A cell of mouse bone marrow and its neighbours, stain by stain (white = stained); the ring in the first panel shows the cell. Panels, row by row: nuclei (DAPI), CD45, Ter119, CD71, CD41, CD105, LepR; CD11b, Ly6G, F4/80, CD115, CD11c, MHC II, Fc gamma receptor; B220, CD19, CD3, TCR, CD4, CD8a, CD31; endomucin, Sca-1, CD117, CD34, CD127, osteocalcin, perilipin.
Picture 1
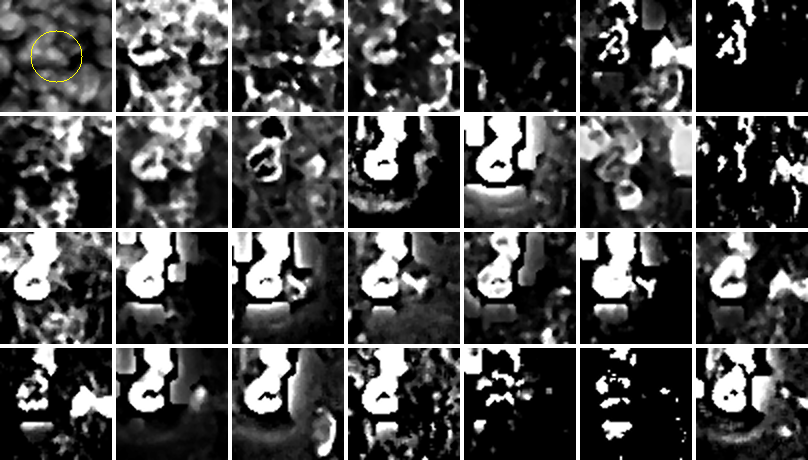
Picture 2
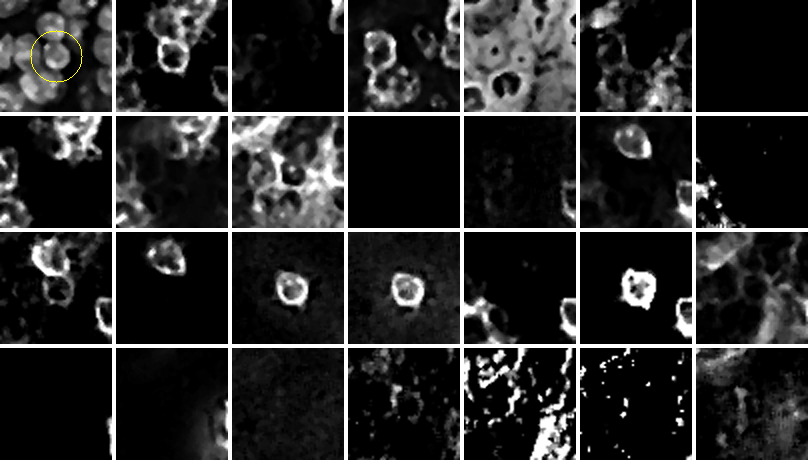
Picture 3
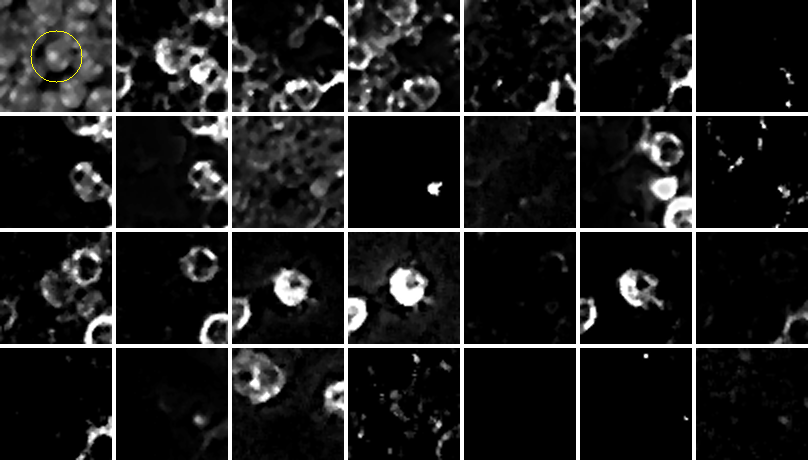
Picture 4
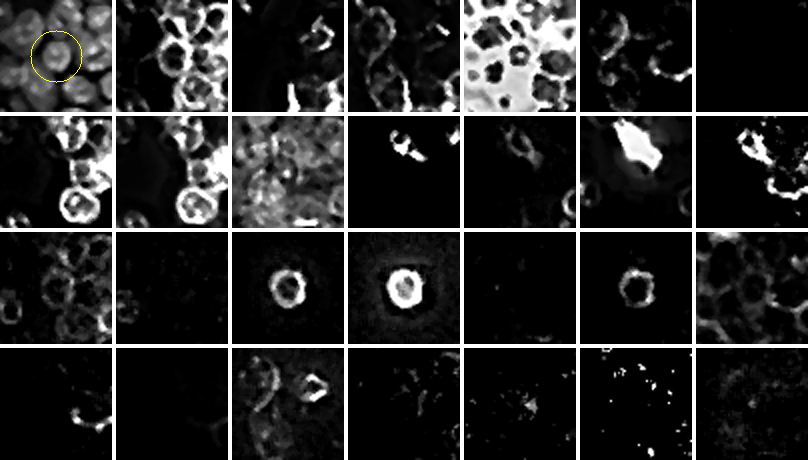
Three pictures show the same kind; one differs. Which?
Picture 4: a double-negative T cell, while the others are CD8 T cells.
